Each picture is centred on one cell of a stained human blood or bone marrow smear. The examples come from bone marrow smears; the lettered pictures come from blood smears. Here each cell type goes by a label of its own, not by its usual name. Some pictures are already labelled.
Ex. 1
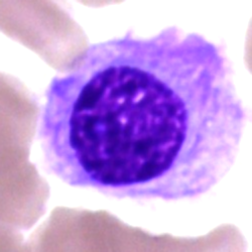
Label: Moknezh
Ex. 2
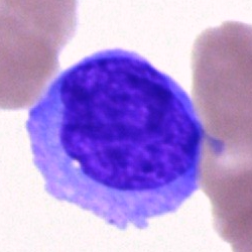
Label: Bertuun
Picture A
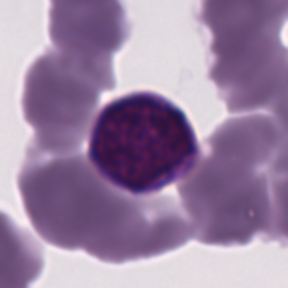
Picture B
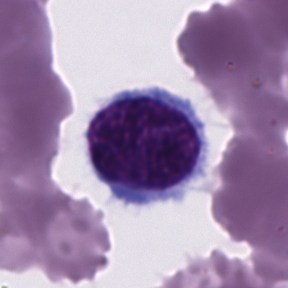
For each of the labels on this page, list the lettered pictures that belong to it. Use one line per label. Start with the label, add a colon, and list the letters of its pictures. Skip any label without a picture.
Moknezh: B
Bertuun: A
